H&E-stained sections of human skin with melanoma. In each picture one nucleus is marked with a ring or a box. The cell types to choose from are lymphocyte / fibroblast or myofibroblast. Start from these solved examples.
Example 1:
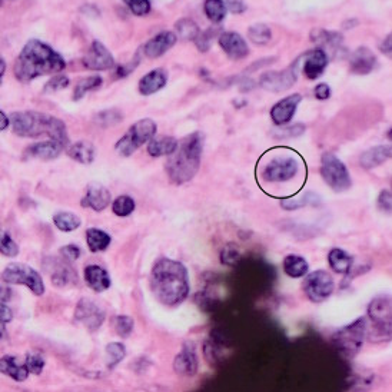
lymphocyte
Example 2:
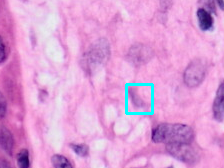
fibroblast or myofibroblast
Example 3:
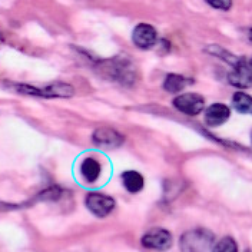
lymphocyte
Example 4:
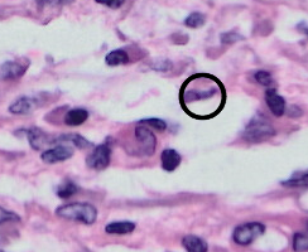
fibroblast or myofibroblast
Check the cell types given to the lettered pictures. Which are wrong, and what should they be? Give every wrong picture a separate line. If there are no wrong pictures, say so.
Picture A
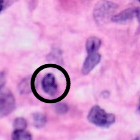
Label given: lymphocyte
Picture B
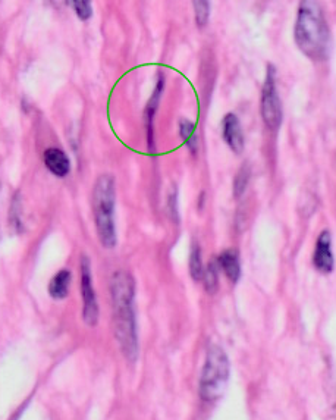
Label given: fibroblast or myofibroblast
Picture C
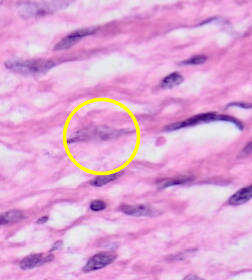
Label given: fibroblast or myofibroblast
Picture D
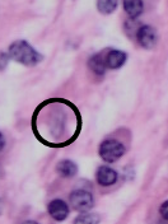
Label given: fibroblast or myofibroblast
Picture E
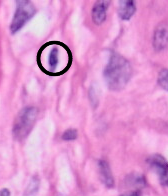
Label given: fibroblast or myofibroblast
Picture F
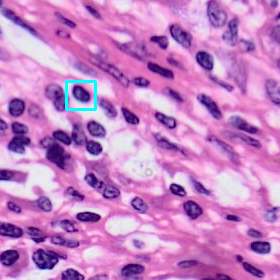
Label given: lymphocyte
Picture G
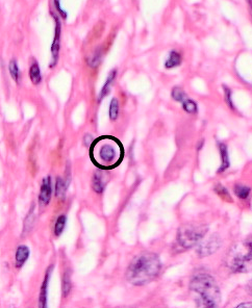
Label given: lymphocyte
E is labelled fibroblast or myofibroblast; correct label: lymphocyte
